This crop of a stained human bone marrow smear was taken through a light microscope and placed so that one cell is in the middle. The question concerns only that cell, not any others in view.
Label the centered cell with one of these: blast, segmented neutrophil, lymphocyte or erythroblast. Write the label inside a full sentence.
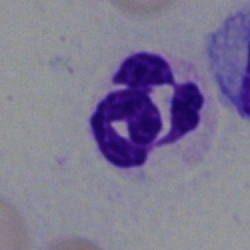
In this smear crop, the middle cell is a segmented neutrophil.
